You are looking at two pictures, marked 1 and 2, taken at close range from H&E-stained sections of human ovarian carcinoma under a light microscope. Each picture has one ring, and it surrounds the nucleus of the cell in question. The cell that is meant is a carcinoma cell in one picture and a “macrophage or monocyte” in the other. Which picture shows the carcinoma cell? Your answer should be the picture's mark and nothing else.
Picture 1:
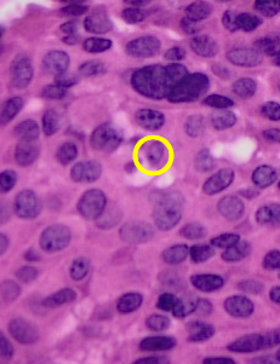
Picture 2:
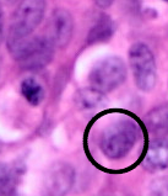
2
